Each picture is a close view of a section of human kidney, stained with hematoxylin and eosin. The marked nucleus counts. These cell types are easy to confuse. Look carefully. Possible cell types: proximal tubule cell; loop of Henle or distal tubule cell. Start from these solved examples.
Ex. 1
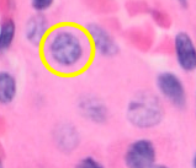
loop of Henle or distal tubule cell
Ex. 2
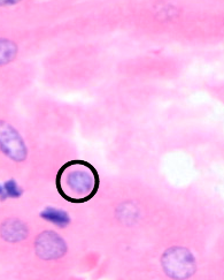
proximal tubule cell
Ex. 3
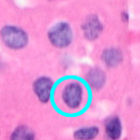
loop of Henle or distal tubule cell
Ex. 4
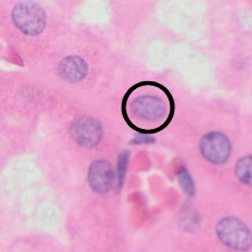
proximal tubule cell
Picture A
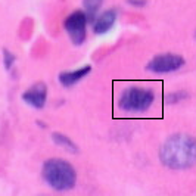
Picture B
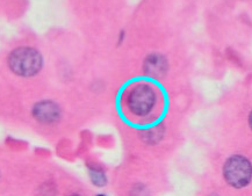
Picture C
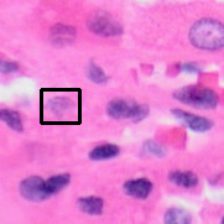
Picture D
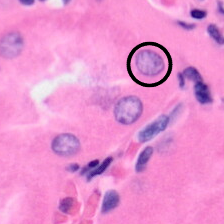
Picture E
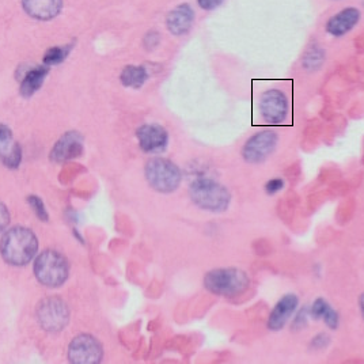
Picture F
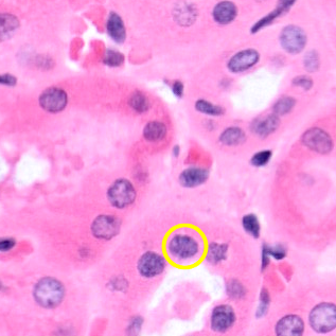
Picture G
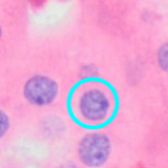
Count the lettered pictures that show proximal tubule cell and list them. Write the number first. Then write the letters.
2: B, D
